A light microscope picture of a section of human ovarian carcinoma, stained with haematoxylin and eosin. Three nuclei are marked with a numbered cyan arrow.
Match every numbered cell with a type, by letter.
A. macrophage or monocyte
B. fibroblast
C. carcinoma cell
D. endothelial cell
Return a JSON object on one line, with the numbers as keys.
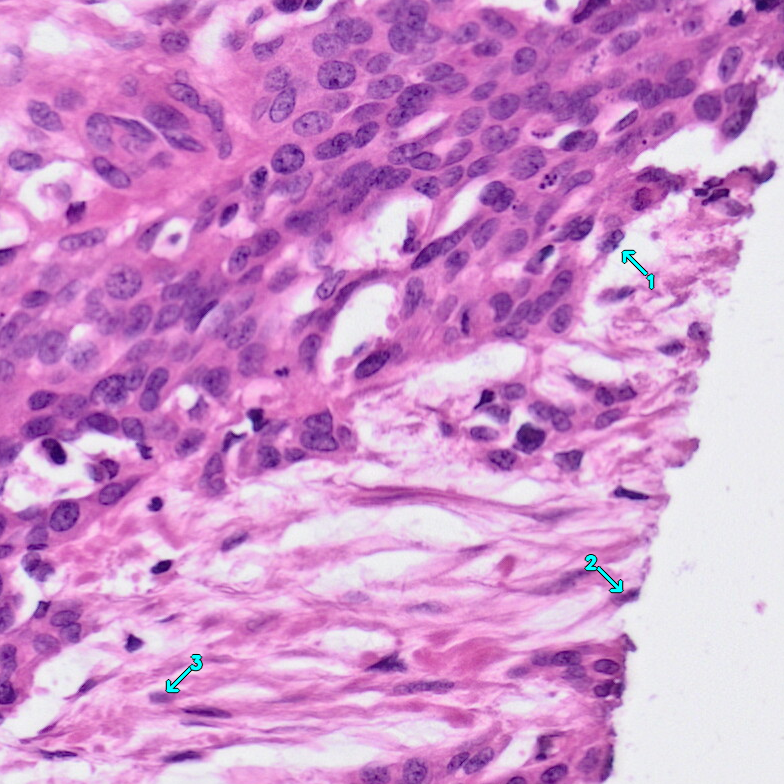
{"1": "C", "2": "B", "3": "B"}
